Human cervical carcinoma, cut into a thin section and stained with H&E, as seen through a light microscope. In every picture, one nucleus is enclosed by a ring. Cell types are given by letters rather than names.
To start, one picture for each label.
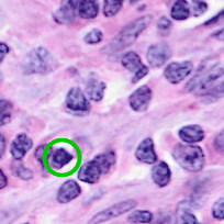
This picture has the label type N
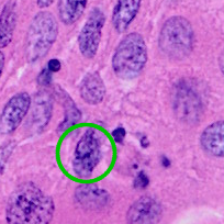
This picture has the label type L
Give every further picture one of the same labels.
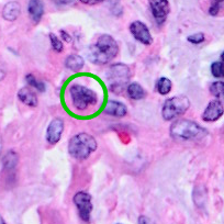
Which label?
type N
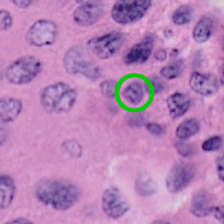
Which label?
type L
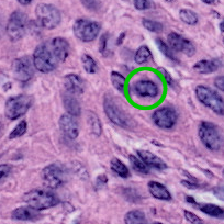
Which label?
type L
